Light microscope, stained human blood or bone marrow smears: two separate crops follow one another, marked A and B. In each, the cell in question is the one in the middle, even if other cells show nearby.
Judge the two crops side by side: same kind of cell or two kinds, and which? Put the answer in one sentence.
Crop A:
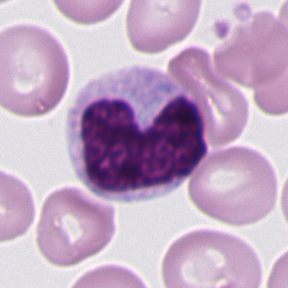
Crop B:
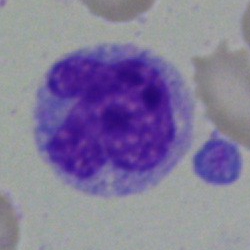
No, crop B holds a monocyte, while crop A holds a band neutrophil.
